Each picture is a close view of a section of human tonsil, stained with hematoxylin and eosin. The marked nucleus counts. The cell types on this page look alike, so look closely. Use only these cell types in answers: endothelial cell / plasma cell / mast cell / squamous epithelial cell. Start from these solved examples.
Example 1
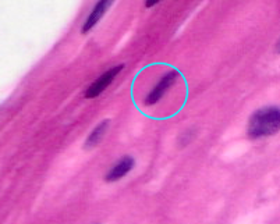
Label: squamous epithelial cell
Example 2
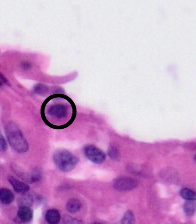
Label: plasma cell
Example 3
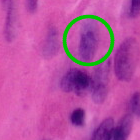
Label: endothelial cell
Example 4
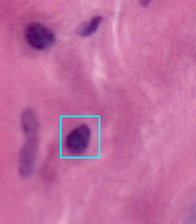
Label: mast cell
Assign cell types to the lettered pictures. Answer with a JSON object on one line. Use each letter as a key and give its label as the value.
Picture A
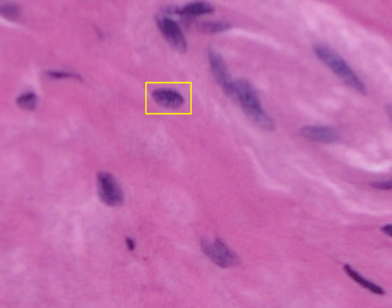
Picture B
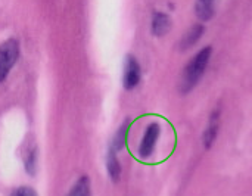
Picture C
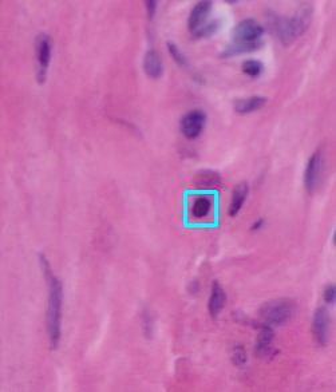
{"A": "mast cell", "B": "mast cell", "C": "mast cell"}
